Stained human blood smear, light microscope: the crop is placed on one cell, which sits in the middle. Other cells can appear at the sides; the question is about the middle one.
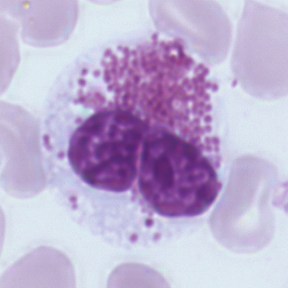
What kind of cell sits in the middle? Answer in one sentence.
The cell the crop is centered on is an eosinophil.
